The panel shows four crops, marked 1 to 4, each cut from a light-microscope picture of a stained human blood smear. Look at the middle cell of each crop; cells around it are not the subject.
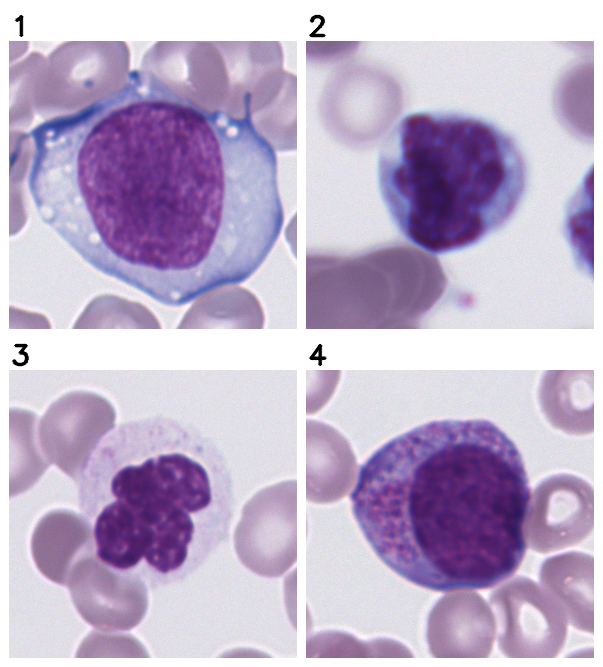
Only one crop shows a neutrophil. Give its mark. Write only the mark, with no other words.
3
